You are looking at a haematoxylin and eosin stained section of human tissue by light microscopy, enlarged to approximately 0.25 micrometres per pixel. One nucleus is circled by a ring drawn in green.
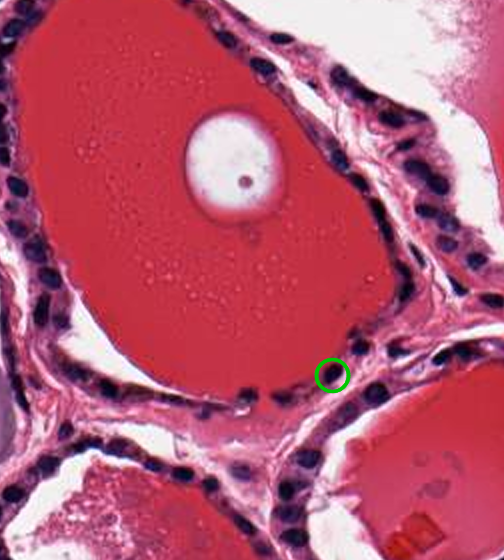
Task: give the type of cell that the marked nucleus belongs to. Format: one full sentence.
The marked nucleus forms part of a thyroid follicular cell.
